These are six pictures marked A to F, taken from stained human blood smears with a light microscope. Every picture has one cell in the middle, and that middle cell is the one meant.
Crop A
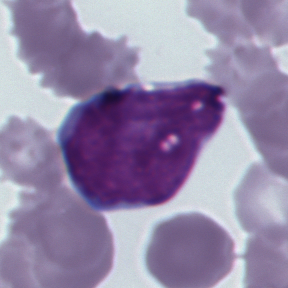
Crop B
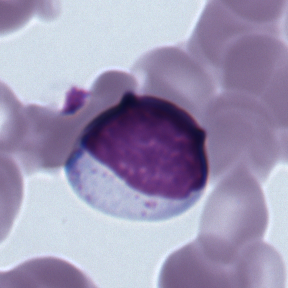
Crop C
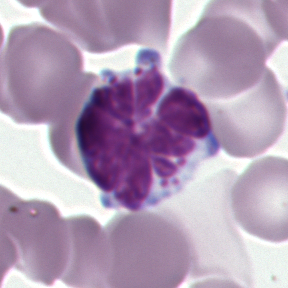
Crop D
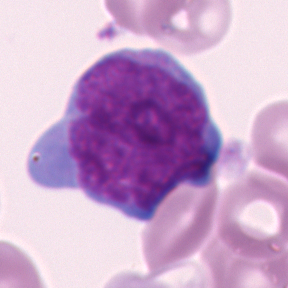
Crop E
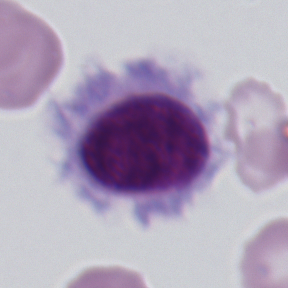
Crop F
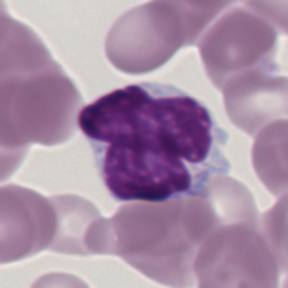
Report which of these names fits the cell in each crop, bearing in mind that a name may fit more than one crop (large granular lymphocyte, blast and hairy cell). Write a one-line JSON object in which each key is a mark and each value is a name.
{"A": "blast", "B": "large granular lymphocyte", "C": "large granular lymphocyte", "D": "blast", "E": "hairy cell", "F": "large granular lymphocyte"}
